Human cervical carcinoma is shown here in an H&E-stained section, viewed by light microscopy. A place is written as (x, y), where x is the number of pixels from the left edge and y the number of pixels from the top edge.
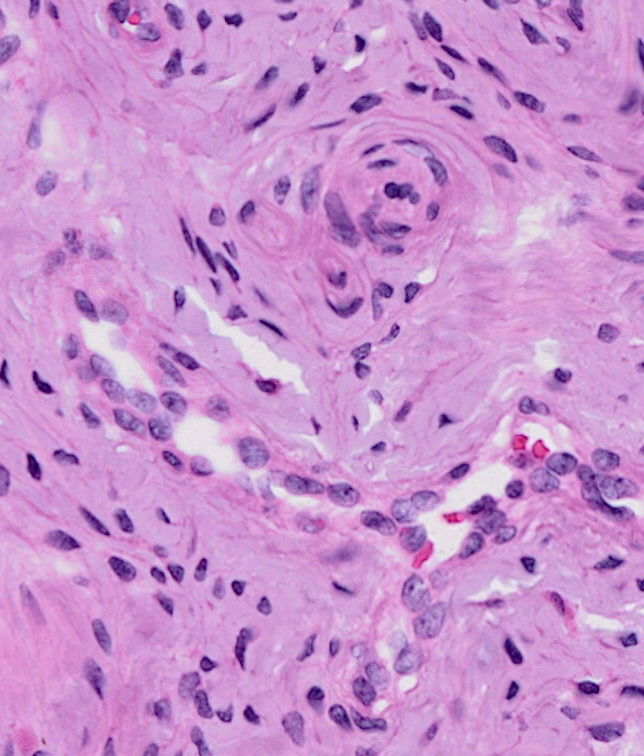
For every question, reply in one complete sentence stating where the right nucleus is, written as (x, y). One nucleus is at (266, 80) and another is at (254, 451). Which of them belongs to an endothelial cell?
At (254, 451) lies the nucleus that belongs to an endothelial cell.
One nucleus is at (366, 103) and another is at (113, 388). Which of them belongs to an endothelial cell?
The one belonging to an endothelial cell is the nucleus at (113, 388), not the other.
